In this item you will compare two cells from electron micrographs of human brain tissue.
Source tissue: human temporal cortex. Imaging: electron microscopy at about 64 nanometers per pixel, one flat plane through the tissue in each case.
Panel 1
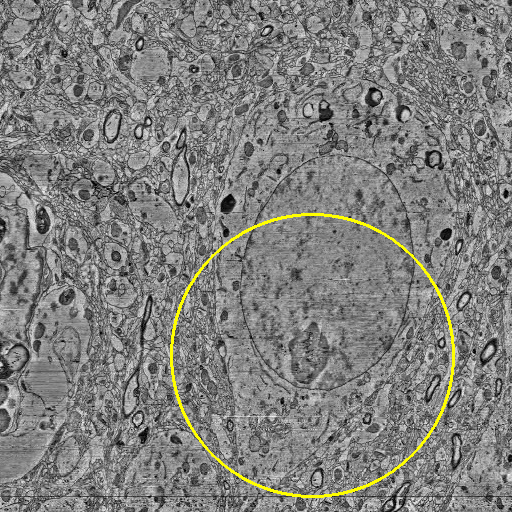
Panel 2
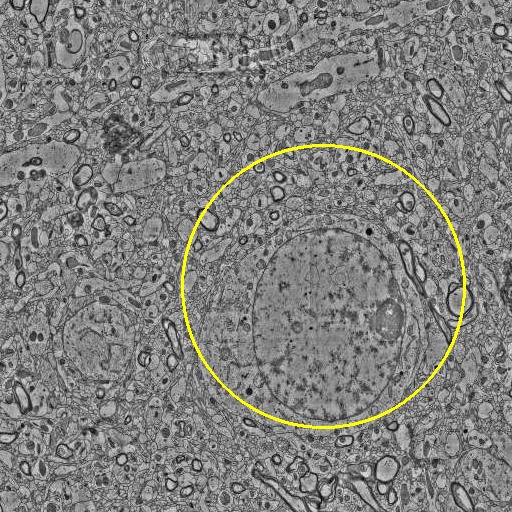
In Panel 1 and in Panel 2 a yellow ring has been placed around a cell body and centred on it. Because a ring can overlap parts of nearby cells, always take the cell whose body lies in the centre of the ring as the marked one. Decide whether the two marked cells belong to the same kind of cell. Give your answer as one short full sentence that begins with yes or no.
Yes, the two marked cells belong to the same kind of cell.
